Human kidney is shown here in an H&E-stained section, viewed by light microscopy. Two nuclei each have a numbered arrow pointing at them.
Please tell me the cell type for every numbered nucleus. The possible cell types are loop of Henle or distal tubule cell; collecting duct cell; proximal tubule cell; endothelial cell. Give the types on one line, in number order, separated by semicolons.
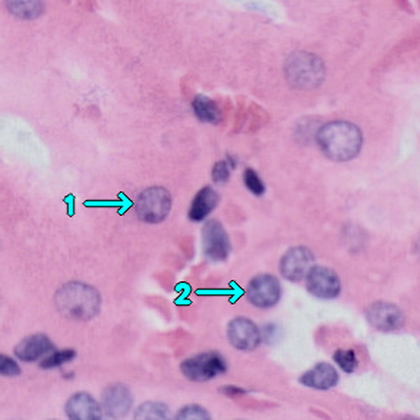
proximal tubule cell; loop of Henle or distal tubule cell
